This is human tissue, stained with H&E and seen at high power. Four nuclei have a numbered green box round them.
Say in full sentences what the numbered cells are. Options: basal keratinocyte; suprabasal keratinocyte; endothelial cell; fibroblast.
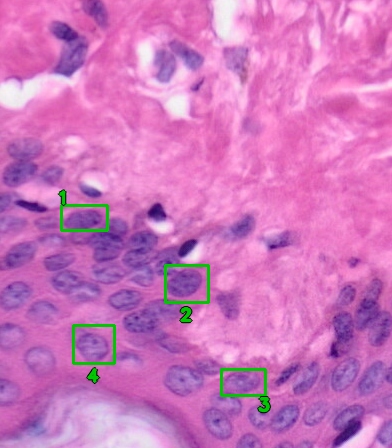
Cell 1 is a basal keratinocyte, cell 2 is a basal keratinocyte, cell 3 is a basal keratinocyte and cell 4 is a suprabasal keratinocyte.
